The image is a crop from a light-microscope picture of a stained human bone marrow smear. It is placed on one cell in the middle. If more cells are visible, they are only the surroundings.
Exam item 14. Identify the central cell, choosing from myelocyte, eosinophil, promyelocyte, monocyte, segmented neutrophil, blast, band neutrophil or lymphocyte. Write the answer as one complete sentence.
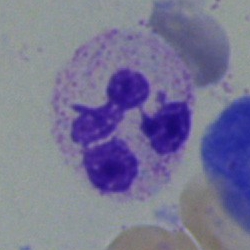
The crop's centre is taken up by a segmented neutrophil.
